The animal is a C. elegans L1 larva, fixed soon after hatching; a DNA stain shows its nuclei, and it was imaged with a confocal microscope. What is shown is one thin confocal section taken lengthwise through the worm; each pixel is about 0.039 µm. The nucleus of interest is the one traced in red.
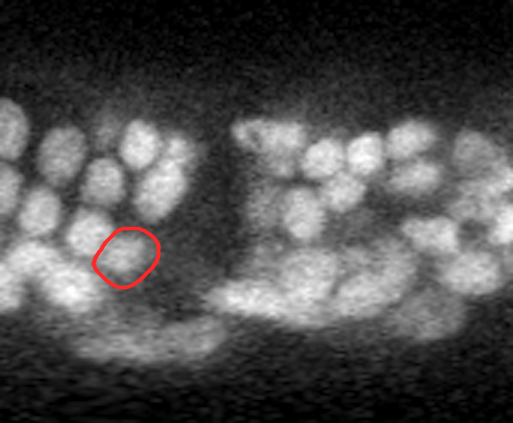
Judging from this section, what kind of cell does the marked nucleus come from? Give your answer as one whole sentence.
The cell with the marked nucleus is a GLR cell.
